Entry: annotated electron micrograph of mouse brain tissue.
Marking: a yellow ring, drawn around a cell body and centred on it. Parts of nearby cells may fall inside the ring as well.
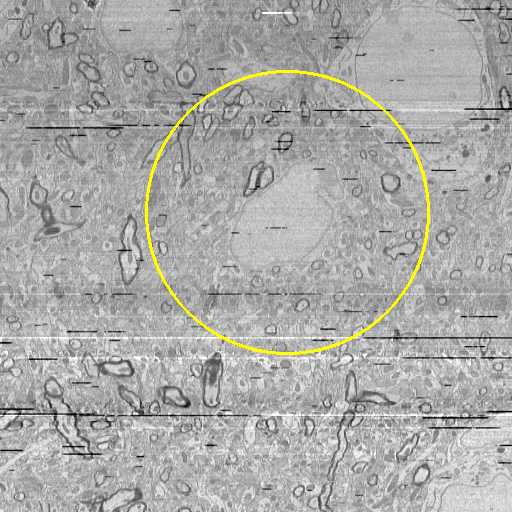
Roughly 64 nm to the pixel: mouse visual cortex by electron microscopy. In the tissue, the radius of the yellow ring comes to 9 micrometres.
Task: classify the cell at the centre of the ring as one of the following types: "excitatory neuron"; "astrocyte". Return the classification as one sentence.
The marked cell is classified as an astrocyte.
